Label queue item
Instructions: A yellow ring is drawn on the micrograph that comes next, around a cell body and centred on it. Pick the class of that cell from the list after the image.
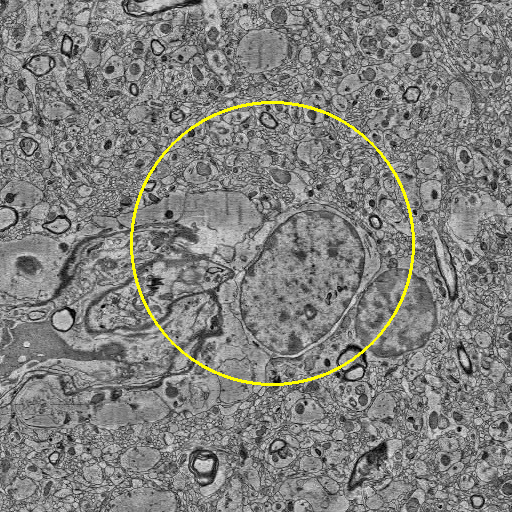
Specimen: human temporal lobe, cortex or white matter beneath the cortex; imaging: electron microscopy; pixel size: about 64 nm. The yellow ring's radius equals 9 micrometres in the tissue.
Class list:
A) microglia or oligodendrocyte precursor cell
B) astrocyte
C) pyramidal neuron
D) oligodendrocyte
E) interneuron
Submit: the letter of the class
A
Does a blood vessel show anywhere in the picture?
Yes, there is one.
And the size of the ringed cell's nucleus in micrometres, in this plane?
About 10 micrometres by about 7 micrometres in this plane.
